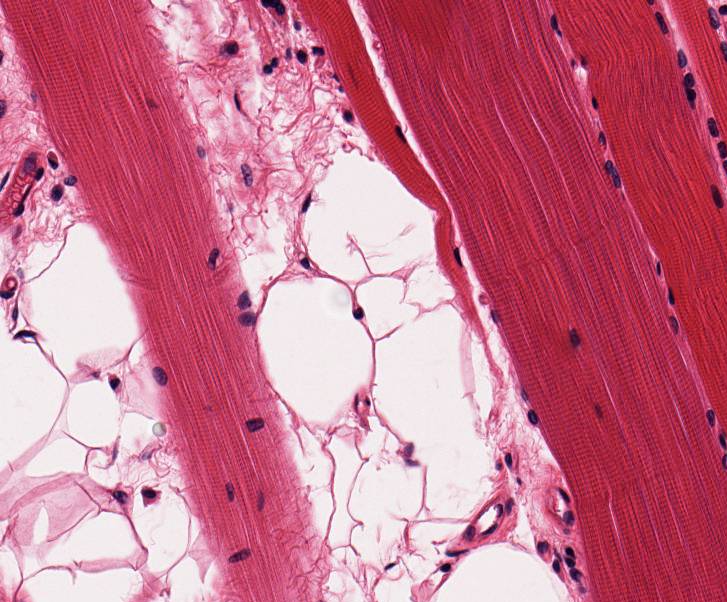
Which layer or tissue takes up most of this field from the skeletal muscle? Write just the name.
skeletal muscle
